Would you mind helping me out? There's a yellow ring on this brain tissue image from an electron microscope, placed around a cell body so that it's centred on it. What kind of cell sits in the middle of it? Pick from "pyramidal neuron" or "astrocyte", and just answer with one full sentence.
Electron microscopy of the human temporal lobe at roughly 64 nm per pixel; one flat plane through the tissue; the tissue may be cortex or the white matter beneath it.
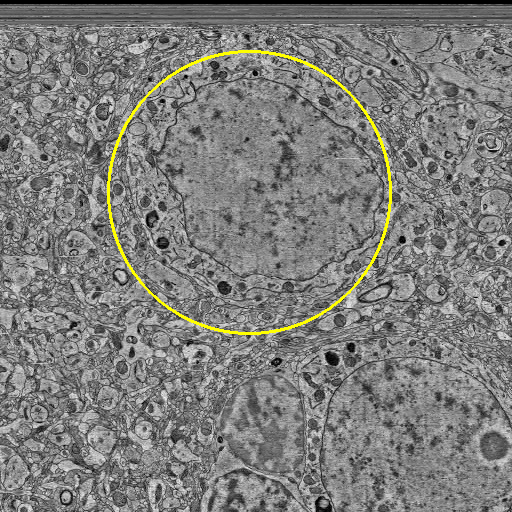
What sits in the middle of that yellow ring is a pyramidal neuron, from your choices.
